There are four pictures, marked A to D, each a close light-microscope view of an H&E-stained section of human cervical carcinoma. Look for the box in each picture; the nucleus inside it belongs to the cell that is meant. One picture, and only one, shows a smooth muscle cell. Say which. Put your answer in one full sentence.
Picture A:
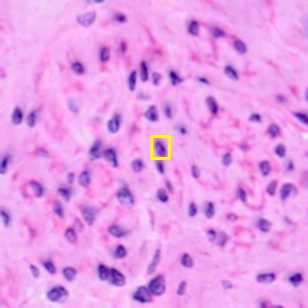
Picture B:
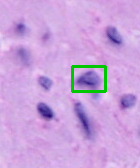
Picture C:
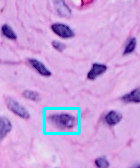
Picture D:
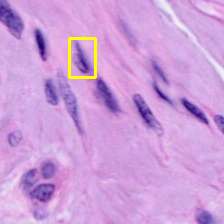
Picture A is the one that shows the smooth muscle cell.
